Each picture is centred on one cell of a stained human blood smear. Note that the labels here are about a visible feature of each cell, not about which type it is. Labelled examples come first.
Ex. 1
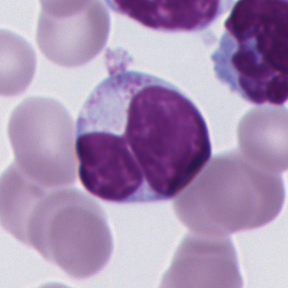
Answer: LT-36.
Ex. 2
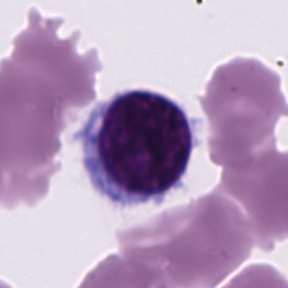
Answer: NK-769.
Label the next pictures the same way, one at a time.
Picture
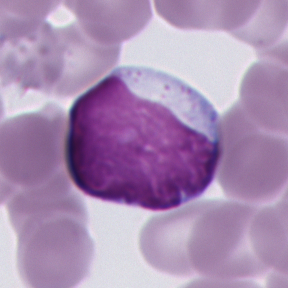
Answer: NK-769.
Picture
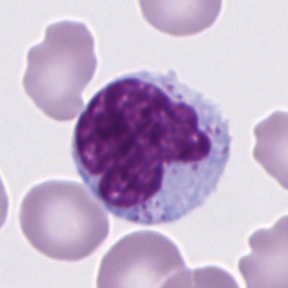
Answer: LT-36.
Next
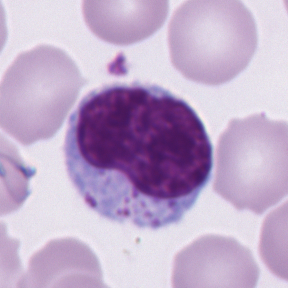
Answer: NK-769.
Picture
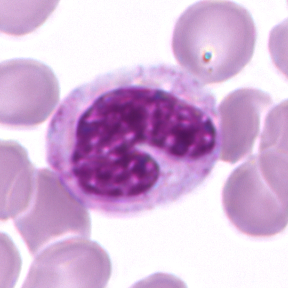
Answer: NK-769.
